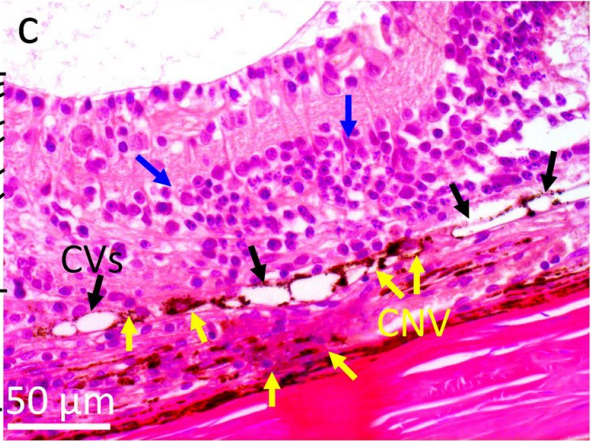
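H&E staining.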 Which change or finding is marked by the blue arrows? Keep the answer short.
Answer: Changes in the retinal architecture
